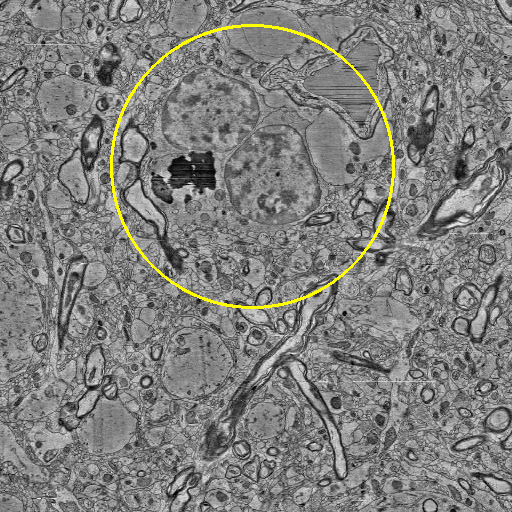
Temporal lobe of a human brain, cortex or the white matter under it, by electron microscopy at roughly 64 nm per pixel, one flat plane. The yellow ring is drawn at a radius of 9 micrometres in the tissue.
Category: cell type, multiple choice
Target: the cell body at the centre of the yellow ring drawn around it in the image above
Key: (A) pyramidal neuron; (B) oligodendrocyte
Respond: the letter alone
B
